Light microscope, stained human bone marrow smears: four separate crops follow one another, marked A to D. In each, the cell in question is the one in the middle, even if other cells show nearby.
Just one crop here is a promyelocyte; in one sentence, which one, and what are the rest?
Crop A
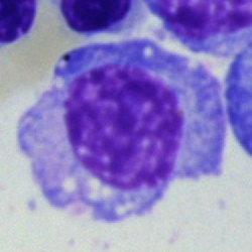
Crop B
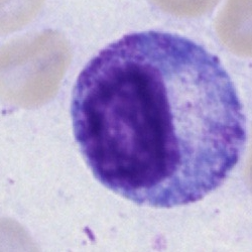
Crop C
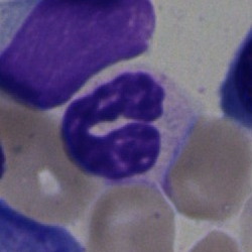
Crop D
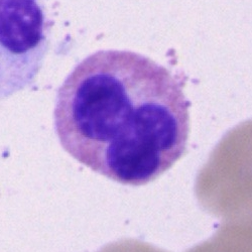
In crop B the cell shown is a promyelocyte, and crop A is a plasma cell, crop C is a band neutrophil and crop D is an eosinophil.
